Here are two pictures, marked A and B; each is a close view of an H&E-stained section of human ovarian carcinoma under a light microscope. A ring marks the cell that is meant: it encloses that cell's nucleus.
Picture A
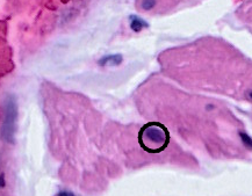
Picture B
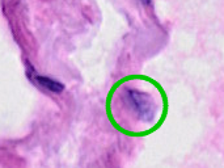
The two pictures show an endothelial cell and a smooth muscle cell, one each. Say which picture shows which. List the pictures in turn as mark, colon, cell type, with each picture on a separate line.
A: smooth muscle cell
B: endothelial cell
